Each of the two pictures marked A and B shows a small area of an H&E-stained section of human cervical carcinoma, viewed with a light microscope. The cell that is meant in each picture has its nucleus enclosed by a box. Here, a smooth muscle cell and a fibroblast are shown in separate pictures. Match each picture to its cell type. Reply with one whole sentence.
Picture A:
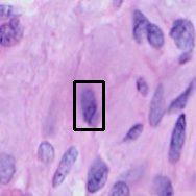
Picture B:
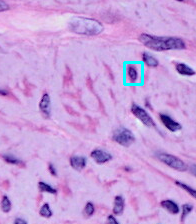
Picture A is of a fibroblast, and picture B is of a smooth muscle cell.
